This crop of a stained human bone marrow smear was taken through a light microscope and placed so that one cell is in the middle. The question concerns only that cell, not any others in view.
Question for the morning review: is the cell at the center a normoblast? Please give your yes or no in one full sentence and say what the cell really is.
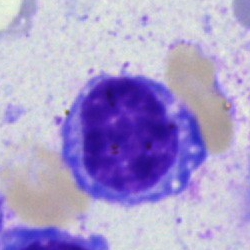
No, sorry, the middle cell is a plasma cell rather than a normoblast.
